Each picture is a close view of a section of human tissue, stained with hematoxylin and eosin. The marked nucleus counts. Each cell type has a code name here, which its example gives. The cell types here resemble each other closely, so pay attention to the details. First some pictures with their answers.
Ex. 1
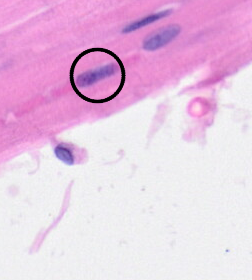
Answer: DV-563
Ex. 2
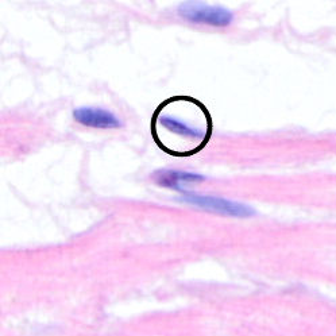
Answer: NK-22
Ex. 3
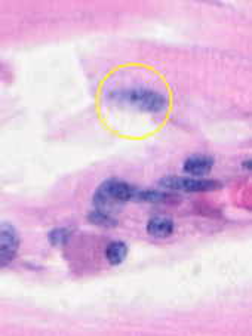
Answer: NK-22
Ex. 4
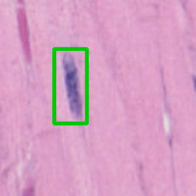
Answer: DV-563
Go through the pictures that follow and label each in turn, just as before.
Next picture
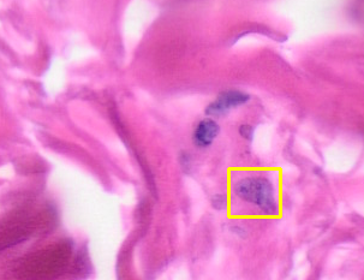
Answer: NK-22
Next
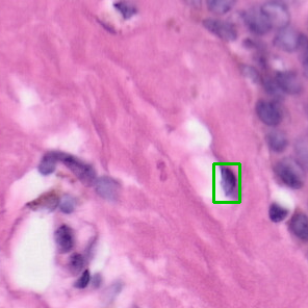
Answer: NK-22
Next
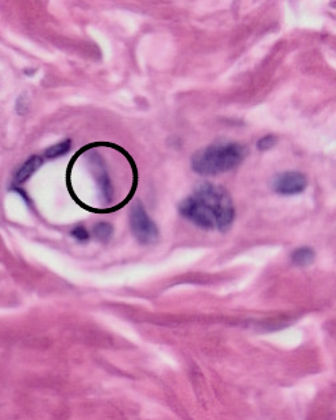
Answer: DV-563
